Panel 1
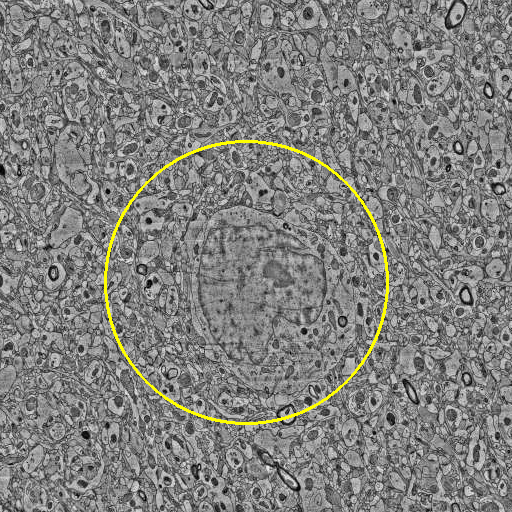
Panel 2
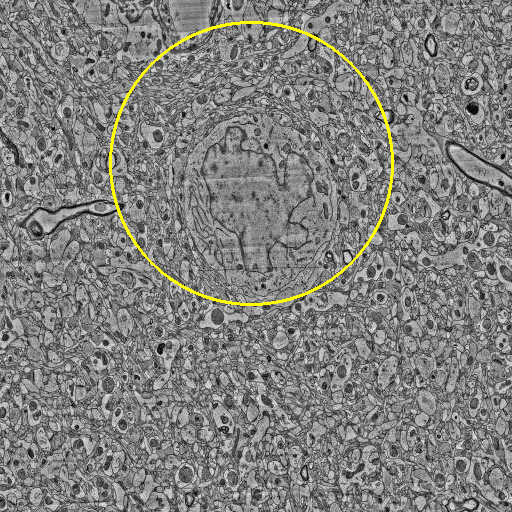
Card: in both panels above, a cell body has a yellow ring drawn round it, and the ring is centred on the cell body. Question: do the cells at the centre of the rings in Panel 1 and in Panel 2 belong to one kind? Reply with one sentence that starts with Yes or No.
Yes, the cells centred in the rings of Panel 1 and Panel 2 are one kind of cell.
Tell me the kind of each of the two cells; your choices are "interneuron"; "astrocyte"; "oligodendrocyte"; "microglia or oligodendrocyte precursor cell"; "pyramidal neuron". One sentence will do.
Both the first and the second picture show an interneuron in the ring.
